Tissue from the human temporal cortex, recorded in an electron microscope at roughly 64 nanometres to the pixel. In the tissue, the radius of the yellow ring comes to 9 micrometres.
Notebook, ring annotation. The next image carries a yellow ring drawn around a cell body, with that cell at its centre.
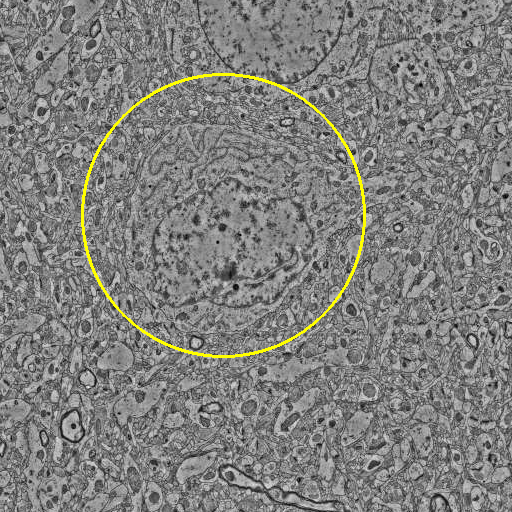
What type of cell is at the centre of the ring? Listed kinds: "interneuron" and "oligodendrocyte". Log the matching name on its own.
interneuron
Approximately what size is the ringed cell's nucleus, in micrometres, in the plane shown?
The nucleus measures about 10 by 9 micrometres in this plane.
